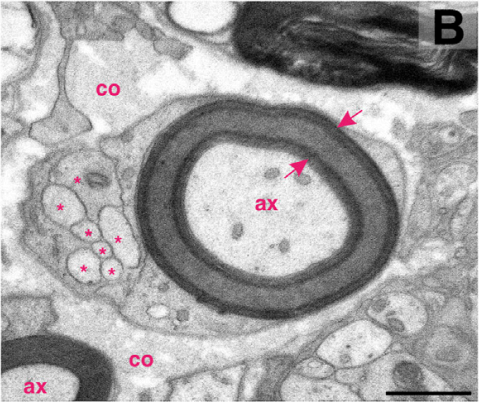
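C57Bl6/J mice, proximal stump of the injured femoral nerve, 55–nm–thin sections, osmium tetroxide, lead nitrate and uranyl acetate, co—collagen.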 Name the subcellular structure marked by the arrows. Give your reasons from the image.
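The arrows point to the dark ring of layered membrane around the axon. The ring shows darker, more tightly packed bands in places.
Conclusion: densely formed lamellae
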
